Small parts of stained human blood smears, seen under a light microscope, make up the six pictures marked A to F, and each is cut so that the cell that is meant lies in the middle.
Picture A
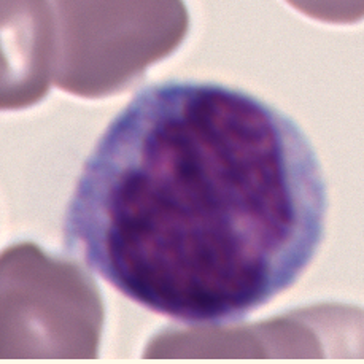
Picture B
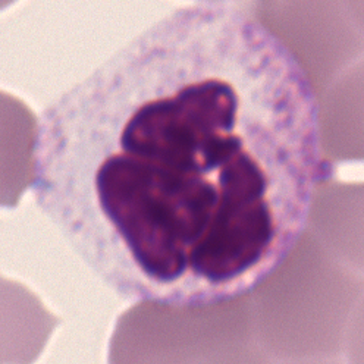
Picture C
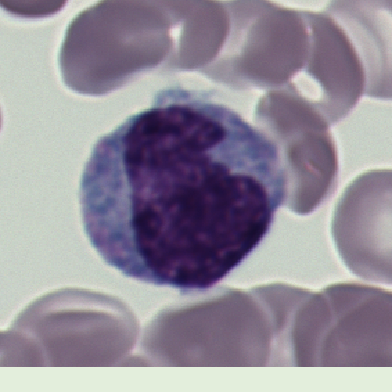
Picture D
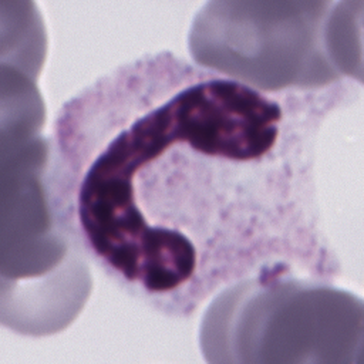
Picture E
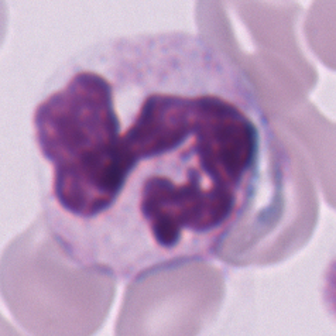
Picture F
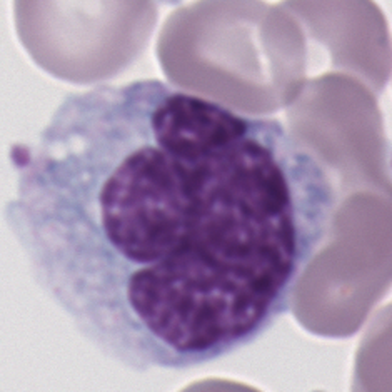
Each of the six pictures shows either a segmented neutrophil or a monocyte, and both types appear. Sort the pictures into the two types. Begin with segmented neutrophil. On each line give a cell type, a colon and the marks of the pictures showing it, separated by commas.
segmented neutrophil: B, D, E
monocyte: A, C, F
